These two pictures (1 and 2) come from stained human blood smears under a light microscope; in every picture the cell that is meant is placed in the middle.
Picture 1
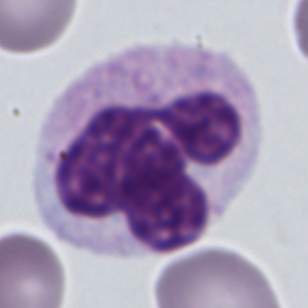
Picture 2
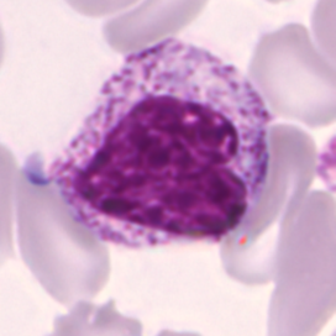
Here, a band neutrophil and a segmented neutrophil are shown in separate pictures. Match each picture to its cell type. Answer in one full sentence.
Picture 1 shows a segmented neutrophil and picture 2 shows a band neutrophil.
